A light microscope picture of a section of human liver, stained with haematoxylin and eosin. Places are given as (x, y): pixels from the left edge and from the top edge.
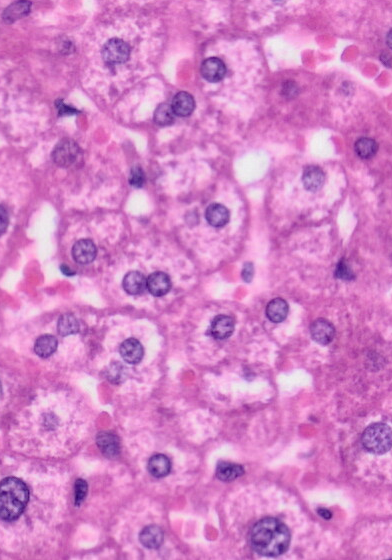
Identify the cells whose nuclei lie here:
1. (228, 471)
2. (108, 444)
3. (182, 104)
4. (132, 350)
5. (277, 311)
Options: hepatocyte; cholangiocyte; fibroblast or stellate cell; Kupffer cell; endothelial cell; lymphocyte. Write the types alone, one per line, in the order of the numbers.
Kupffer cell
endothelial cell
hepatocyte
hepatocyte
hepatocyte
